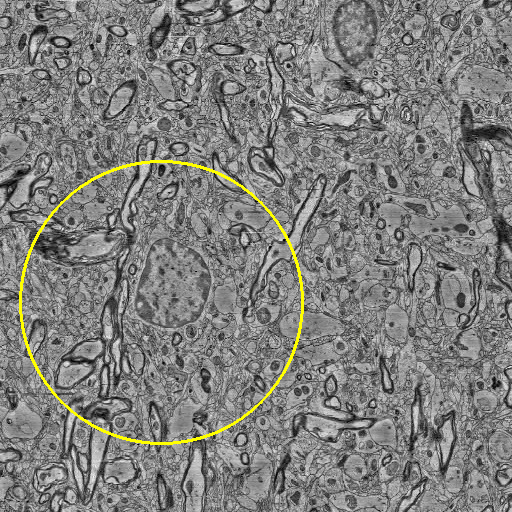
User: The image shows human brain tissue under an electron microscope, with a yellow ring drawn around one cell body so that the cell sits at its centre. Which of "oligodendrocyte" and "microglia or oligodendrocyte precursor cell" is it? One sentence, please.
At the centre of the ring sits a microglial cell or oligodendrocyte precursor cell.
